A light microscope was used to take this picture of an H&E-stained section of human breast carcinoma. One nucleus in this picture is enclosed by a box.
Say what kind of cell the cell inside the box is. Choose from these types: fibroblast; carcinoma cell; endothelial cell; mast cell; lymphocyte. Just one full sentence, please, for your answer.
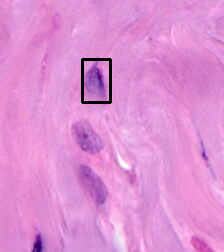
The expected answer is simply that the cell inside the box is a fibroblast.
